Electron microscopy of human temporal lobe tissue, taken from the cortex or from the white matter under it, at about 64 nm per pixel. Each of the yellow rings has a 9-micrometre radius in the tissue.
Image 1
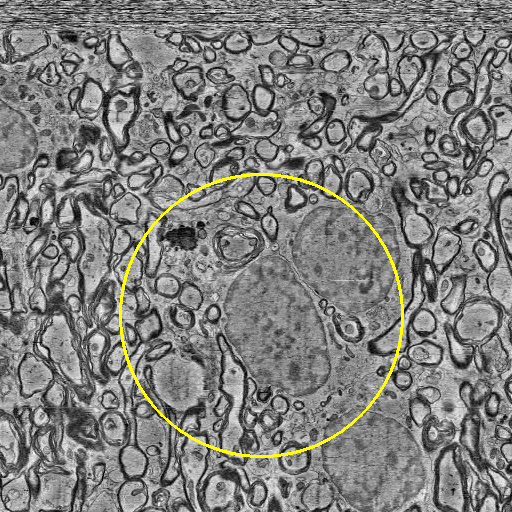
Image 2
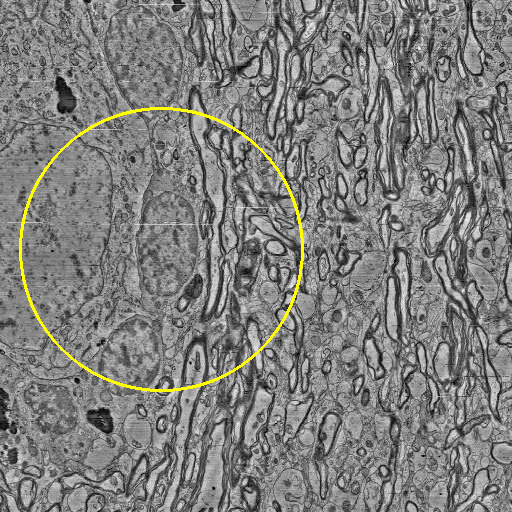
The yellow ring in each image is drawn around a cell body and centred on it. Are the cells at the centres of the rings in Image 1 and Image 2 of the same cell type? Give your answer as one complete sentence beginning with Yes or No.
Yes, both cells are of the same type.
